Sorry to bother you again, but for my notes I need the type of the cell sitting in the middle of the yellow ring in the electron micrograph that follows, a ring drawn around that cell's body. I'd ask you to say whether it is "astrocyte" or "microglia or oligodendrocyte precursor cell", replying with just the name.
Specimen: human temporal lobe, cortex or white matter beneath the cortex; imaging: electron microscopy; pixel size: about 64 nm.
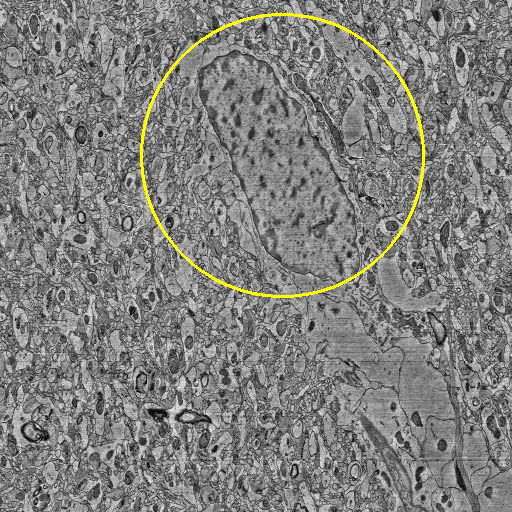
microglia or oligodendrocyte precursor cell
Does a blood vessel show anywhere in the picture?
Yes, there is a blood vessel in the image.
